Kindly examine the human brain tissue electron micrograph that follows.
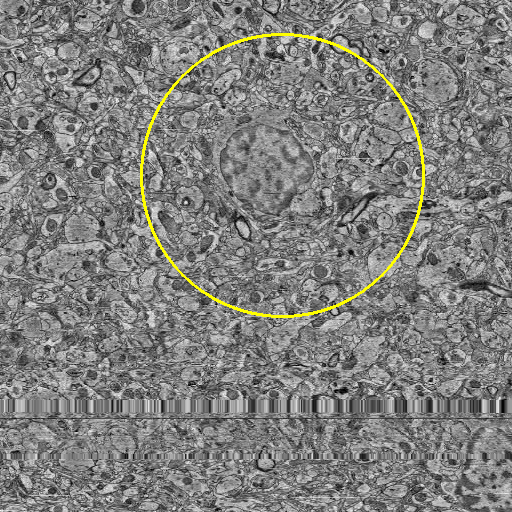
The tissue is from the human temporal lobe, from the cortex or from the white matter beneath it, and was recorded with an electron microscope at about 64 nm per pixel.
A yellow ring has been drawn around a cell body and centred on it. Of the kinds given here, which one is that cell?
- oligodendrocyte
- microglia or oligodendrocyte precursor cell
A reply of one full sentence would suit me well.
The micrograph's ringed cell, the one at the ring's centre, is an oligodendrocyte.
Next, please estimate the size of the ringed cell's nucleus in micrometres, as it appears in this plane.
Approximately 6 micrometers across in this plane.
